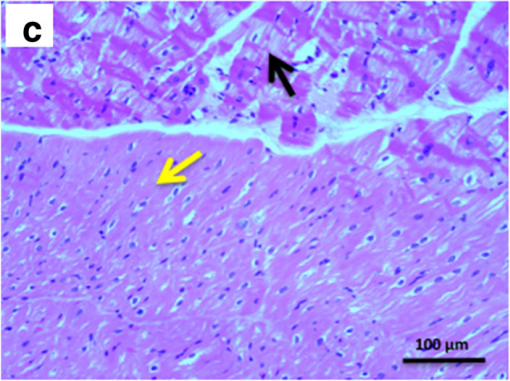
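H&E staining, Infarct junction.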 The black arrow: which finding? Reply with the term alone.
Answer: Contraction band change.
